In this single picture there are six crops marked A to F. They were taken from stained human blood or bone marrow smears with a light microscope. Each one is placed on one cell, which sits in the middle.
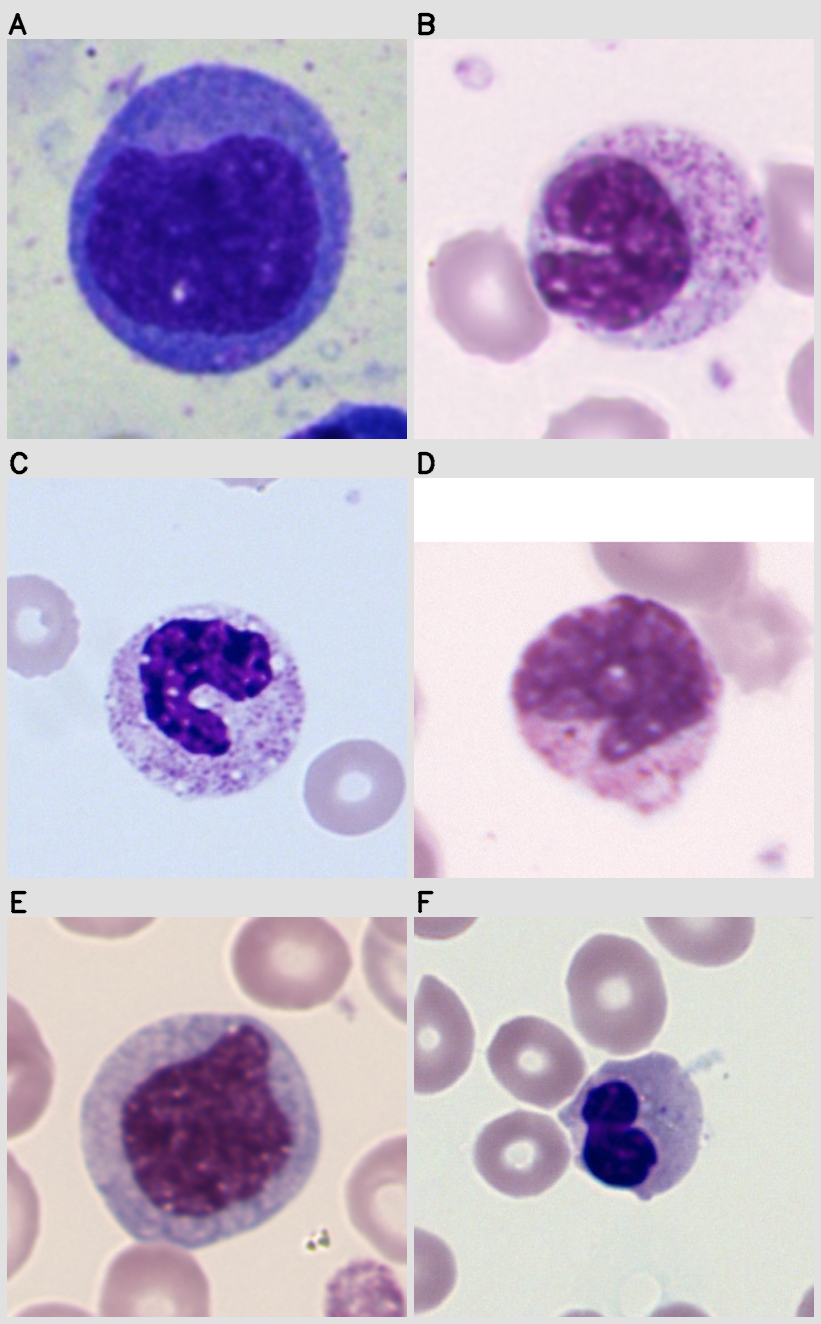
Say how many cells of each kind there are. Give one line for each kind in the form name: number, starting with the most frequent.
band neutrophil: 3
monocyte: 2
erythroblast: 1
